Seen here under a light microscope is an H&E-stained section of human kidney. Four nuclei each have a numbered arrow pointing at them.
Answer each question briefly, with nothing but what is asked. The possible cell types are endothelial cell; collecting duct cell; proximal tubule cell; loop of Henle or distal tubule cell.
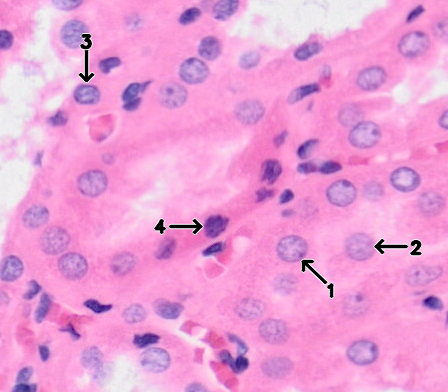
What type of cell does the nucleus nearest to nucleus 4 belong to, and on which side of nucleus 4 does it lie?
an endothelial cell; below nucleus 4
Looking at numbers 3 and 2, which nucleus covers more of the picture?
2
